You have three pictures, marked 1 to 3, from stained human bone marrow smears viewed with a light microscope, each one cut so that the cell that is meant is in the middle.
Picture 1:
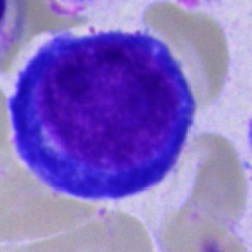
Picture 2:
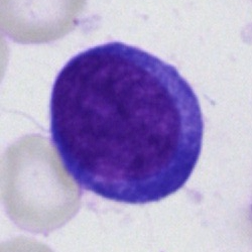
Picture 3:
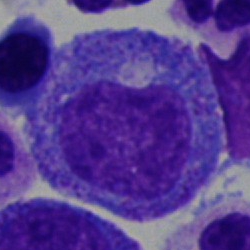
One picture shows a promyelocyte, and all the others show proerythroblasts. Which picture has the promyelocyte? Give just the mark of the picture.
3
